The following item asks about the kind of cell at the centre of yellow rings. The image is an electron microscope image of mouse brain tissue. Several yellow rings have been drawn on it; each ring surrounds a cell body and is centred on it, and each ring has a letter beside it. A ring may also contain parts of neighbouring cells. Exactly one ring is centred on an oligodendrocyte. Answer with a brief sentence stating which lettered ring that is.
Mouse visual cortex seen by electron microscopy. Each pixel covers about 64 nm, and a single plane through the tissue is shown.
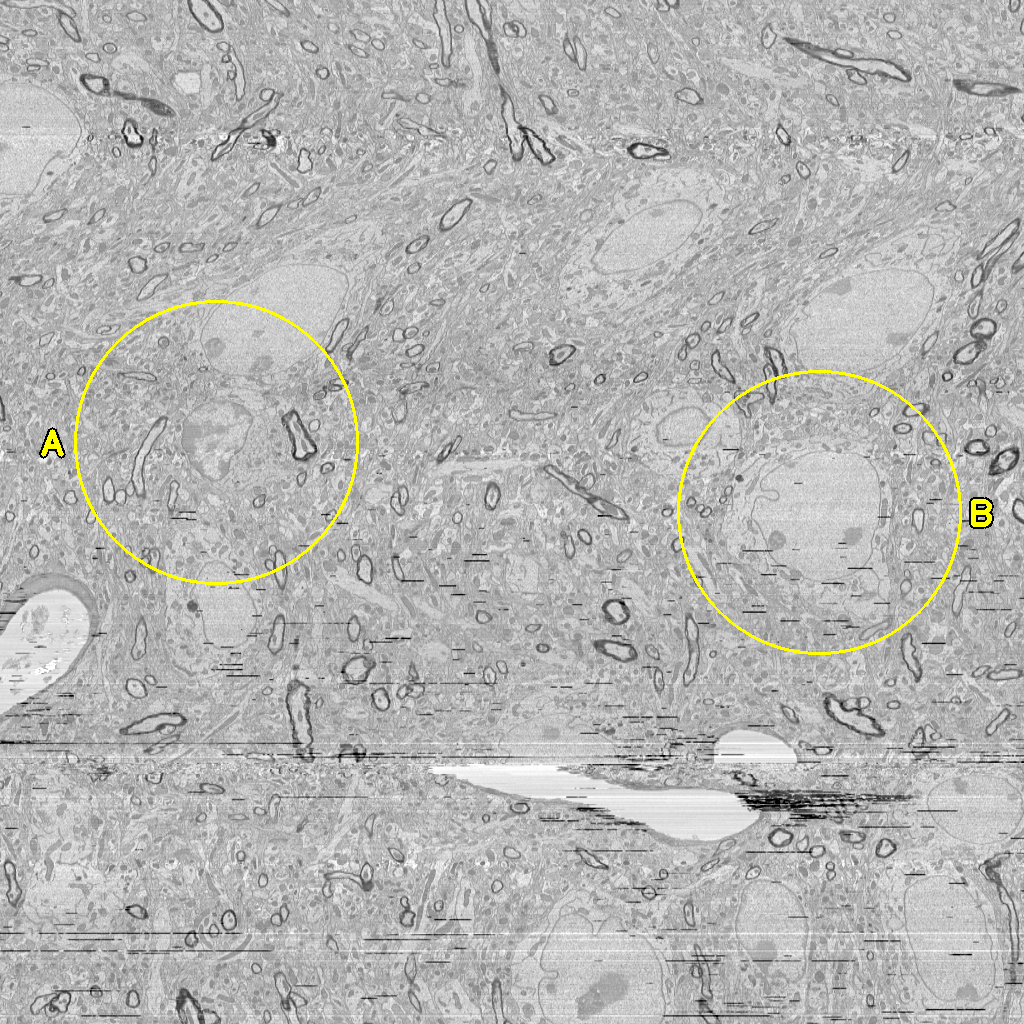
That is ring A.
